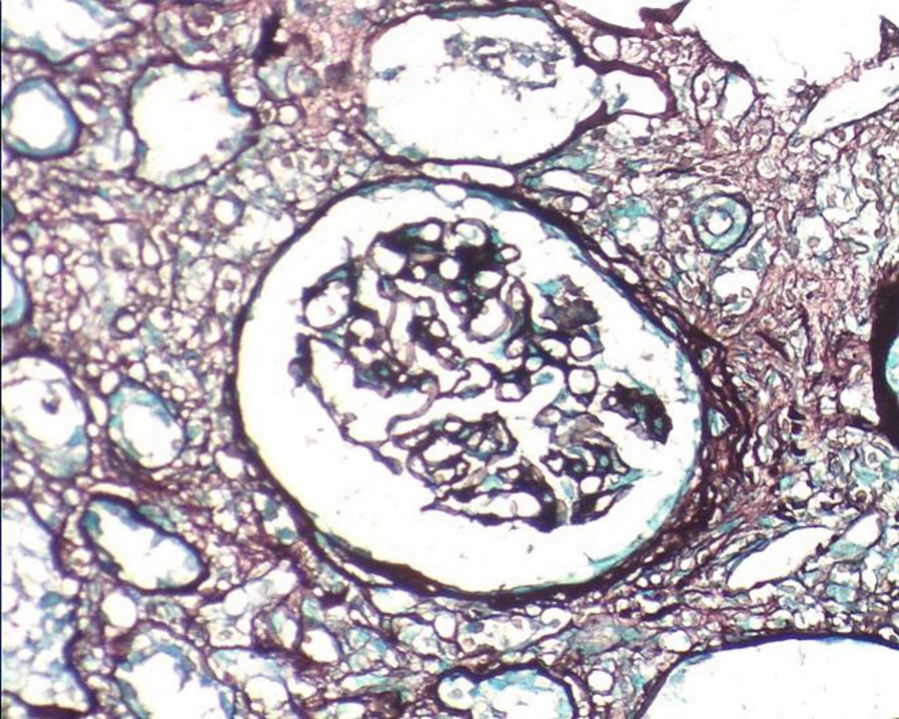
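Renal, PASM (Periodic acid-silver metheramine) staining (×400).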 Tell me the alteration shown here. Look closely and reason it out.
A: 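The spaces between the tubules are widened. The fibrous meshwork extends across the whole field around tubules and the glomerulus. The answer: interstitial diffuse fibrosis.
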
